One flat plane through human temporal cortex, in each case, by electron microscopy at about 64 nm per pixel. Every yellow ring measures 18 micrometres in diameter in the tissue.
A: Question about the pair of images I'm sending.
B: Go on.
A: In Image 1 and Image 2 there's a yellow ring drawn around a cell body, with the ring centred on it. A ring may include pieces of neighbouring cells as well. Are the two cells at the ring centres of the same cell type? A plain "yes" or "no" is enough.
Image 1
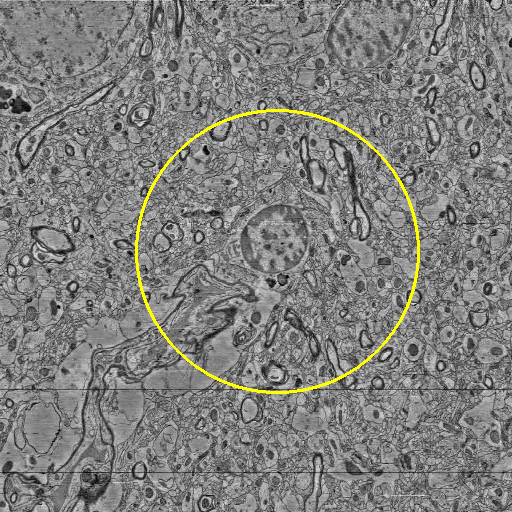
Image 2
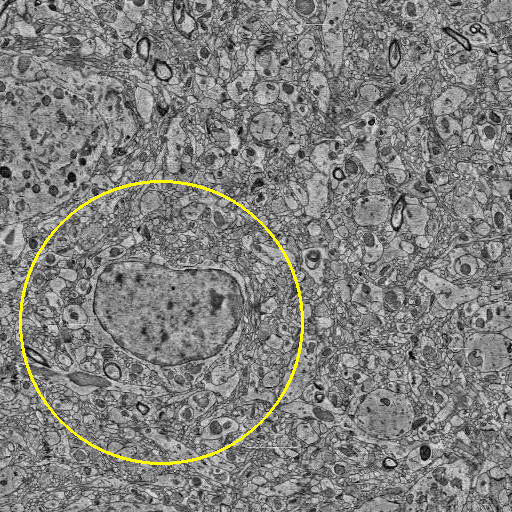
yes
